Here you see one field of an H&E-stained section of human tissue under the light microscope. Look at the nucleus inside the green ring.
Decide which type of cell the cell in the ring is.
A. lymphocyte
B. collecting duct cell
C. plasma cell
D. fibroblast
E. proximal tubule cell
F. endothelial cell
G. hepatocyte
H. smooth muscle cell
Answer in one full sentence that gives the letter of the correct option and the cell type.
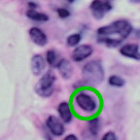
Exactly as option A gives it, the cell in the ring is a lymphocyte.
